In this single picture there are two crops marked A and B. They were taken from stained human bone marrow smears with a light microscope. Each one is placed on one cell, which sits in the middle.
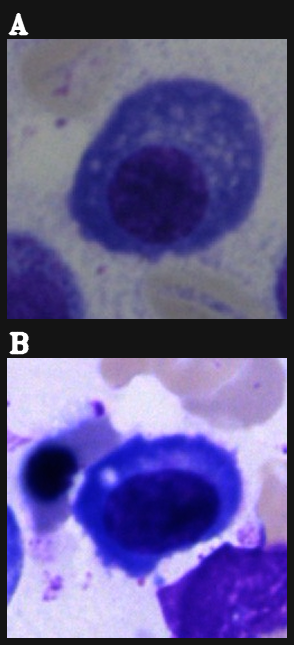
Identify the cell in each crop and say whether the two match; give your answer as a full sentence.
Yes, the reply for both crops is plasma cells.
